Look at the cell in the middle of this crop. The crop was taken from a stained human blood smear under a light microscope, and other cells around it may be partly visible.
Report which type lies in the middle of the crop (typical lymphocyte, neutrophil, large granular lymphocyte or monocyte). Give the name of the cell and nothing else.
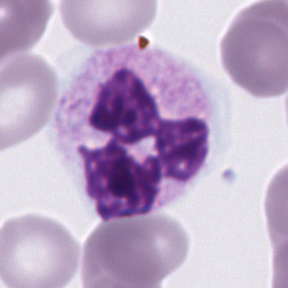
neutrophil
